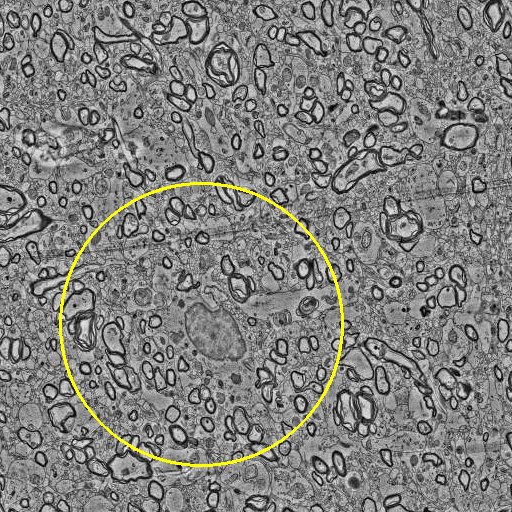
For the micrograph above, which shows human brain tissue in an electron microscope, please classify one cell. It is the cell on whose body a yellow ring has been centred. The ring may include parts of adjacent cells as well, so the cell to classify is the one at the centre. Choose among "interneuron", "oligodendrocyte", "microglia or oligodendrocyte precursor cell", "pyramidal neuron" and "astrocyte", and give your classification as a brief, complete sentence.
I classify this cell as an oligodendrocyte.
